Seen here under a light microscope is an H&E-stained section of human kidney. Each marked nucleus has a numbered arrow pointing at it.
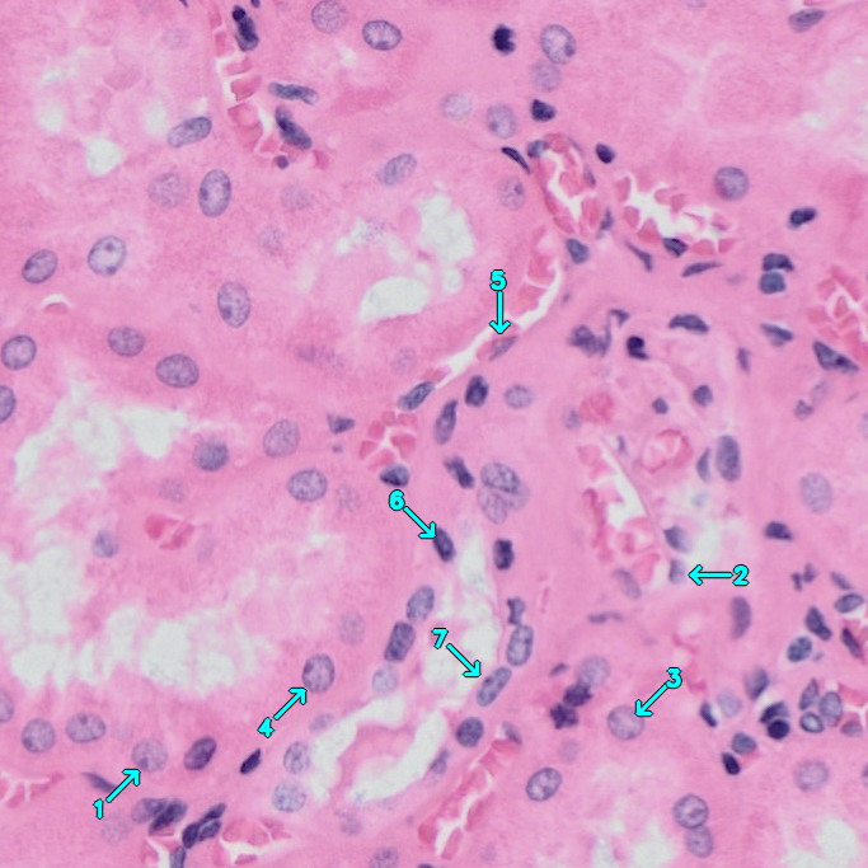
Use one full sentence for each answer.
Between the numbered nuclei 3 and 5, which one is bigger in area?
Nucleus 3 is larger, with an area about 2 times that of nucleus 5.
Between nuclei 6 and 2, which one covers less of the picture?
Nucleus 2 covers less area, with nucleus 6 about 1.5 times as large.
